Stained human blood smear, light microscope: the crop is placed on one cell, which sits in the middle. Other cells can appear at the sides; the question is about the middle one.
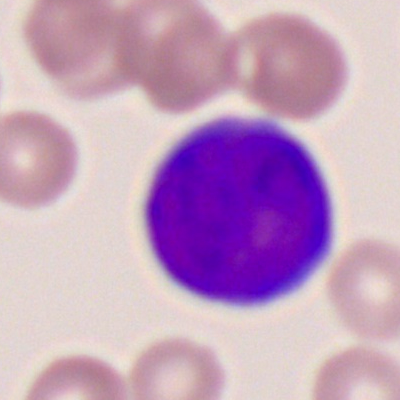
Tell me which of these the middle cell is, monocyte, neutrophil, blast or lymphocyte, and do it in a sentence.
Answering briefly, the cell in the middle is a blast.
